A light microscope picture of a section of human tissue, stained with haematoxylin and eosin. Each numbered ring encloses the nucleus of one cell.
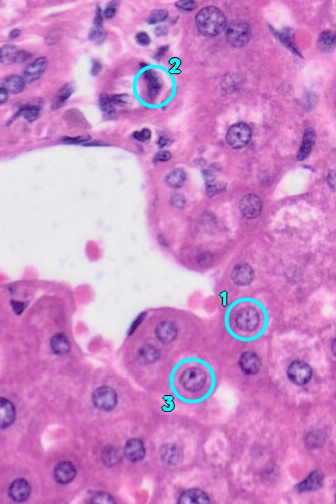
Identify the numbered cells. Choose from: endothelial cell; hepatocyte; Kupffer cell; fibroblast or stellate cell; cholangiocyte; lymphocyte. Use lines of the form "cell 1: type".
cell 1: hepatocyte
cell 2: fibroblast or stellate cell
cell 3: hepatocyte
